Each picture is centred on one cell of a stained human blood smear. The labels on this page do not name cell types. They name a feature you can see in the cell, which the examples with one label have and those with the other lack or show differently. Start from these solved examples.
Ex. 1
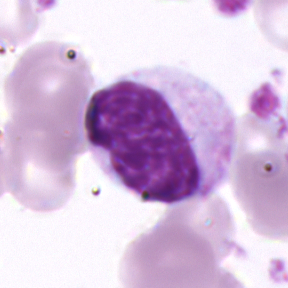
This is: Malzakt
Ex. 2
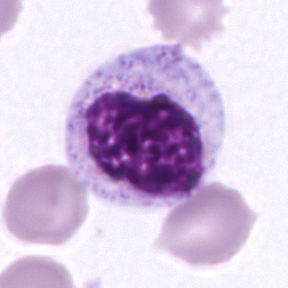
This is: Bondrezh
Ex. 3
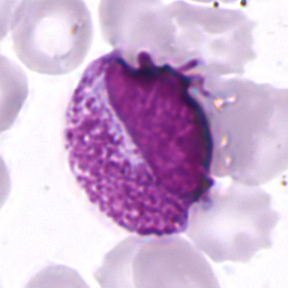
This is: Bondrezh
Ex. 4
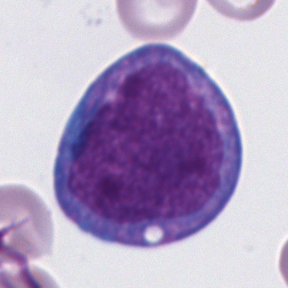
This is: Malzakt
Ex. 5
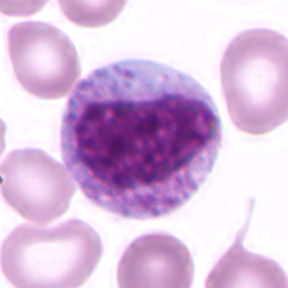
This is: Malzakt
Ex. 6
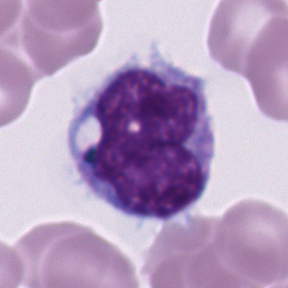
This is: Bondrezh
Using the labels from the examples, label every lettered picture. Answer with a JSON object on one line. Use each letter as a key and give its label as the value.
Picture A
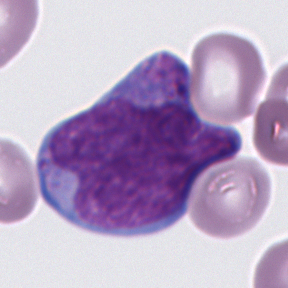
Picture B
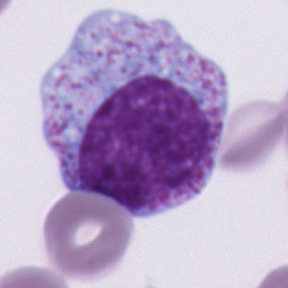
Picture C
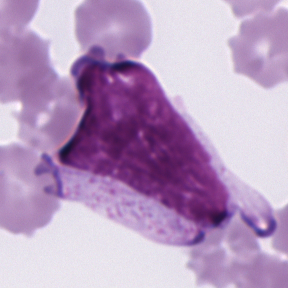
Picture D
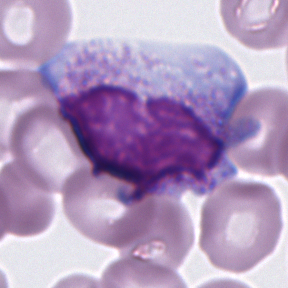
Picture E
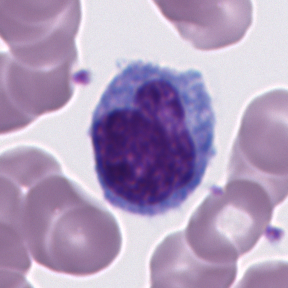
{"A": "Bondrezh", "B": "Bondrezh", "C": "Bondrezh", "D": "Bondrezh", "E": "Bondrezh"}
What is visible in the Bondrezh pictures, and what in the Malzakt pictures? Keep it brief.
Bondrezh, ragged outline or projections; Malzakt, smooth outline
